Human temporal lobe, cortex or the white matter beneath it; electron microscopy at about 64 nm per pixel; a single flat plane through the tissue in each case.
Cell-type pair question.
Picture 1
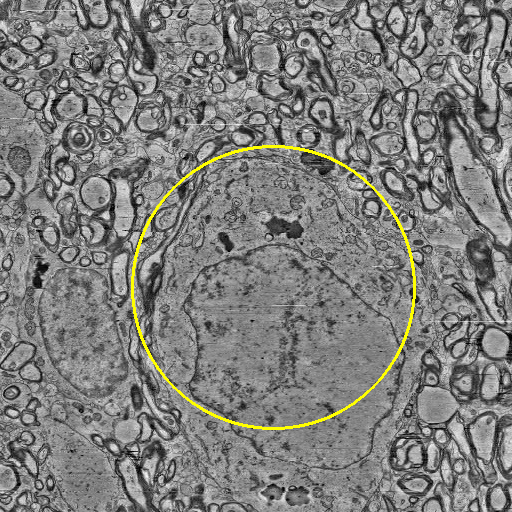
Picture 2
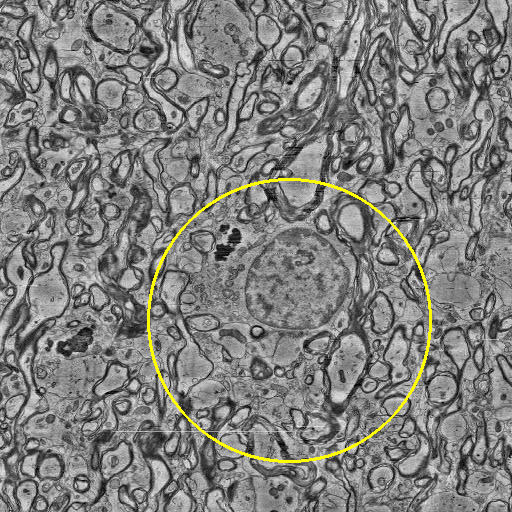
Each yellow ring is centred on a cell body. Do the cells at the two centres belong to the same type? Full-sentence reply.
No, the two cells belong to two types.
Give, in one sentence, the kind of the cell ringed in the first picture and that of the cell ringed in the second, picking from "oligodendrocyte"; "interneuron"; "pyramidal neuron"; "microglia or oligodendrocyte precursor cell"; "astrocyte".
For the first picture it is a pyramidal neuron; for the second, an oligodendrocyte.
